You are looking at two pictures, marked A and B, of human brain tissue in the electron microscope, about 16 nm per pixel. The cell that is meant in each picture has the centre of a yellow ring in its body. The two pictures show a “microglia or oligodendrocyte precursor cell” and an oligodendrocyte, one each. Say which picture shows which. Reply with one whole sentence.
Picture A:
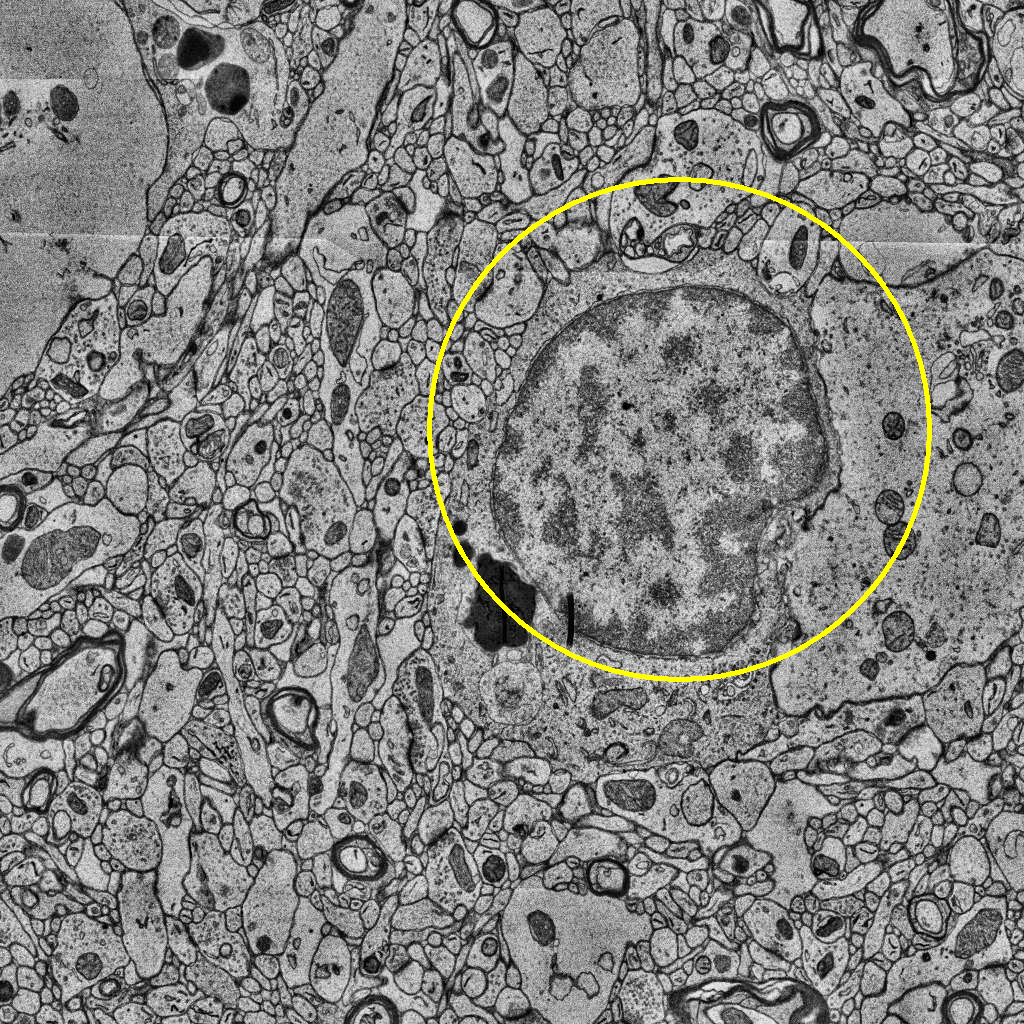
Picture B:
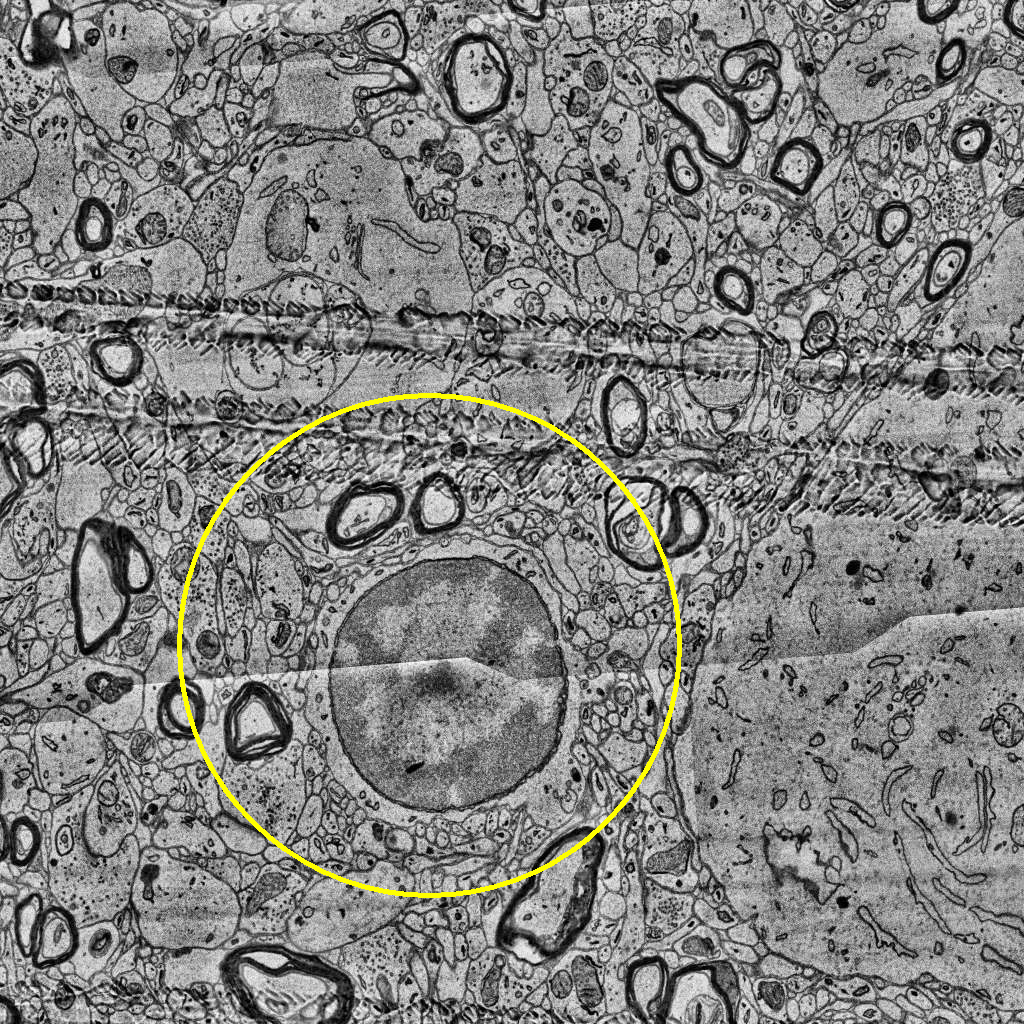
Picture B shows a “microglia or oligodendrocyte precursor cell”, while picture A shows an oligodendrocyte.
